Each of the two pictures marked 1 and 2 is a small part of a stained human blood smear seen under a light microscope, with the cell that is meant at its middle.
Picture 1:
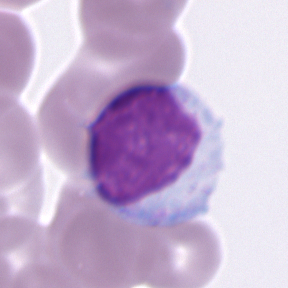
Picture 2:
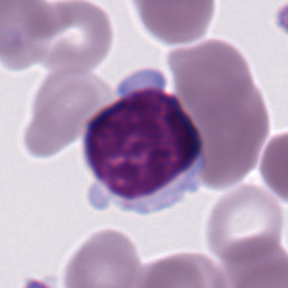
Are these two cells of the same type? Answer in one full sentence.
Yes, the two pictures both show large granular lymphocytes.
